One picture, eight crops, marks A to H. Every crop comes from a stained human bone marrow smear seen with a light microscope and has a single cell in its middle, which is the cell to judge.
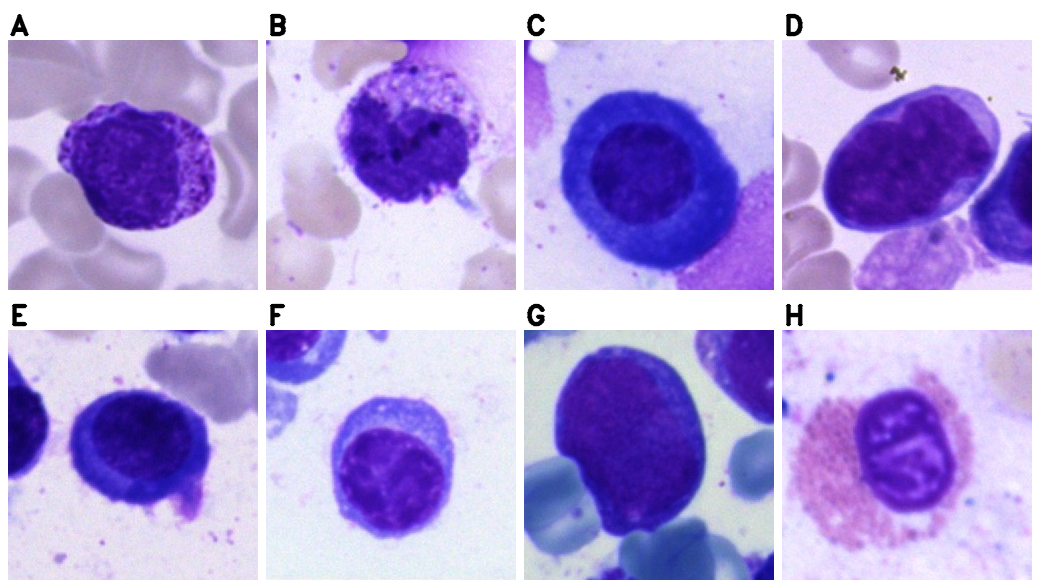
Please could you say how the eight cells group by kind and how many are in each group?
basophil: 3
plasma cell: 3
blast: 2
